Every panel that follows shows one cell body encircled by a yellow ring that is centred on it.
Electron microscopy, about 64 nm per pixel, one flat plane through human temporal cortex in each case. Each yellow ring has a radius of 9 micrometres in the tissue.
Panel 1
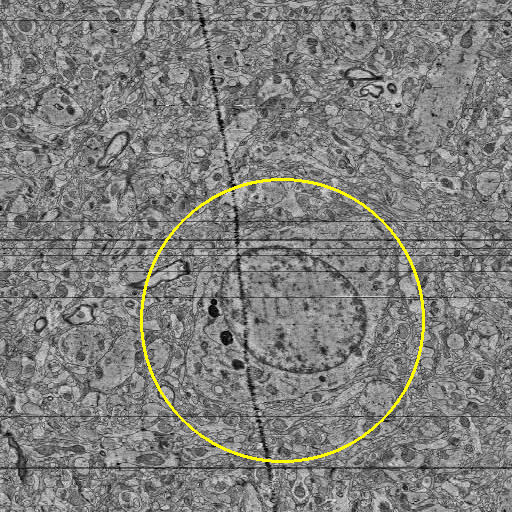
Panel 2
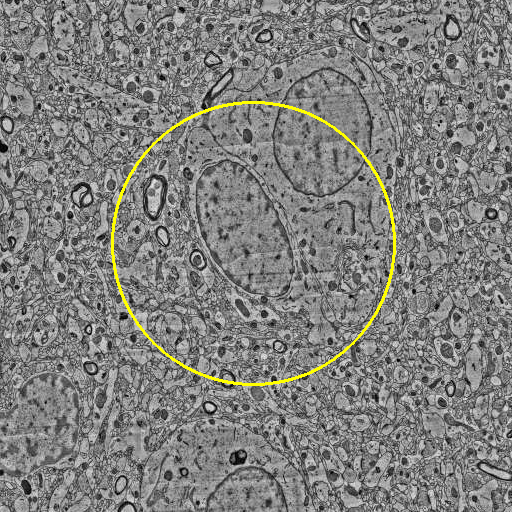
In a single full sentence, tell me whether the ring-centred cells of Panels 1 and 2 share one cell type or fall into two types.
In Panel 1 and Panel 2, the cells at the ring centres fall into two types.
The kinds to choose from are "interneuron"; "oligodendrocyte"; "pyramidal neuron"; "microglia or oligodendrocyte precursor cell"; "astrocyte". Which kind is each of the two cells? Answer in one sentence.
Of the two, the first cell is a pyramidal neuron and the second cell is a microglial cell or oligodendrocyte precursor cell.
